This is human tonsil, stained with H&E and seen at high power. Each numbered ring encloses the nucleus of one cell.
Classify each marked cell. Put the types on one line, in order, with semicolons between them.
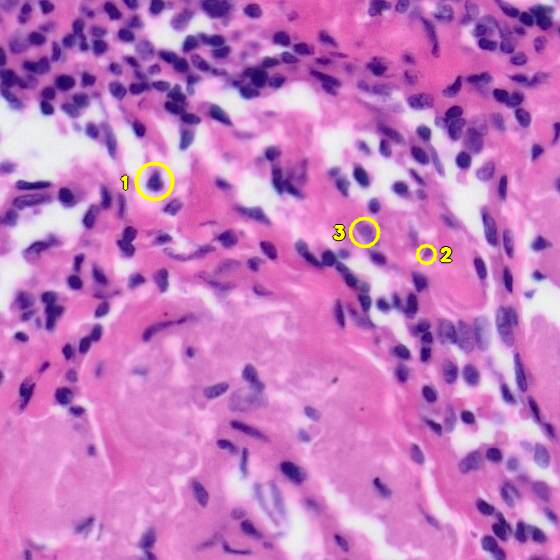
mast cell; endothelial cell; endothelial cell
